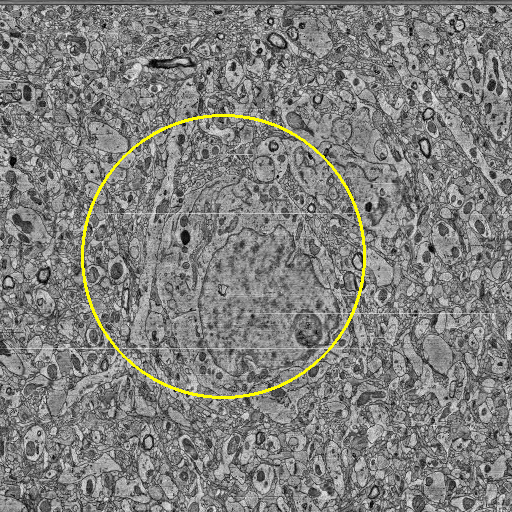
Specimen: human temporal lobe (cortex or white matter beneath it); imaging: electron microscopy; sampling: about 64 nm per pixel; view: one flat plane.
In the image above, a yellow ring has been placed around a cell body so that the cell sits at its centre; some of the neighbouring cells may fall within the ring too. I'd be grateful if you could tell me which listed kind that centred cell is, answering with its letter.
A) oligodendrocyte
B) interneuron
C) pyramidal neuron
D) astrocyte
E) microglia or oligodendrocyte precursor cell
B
